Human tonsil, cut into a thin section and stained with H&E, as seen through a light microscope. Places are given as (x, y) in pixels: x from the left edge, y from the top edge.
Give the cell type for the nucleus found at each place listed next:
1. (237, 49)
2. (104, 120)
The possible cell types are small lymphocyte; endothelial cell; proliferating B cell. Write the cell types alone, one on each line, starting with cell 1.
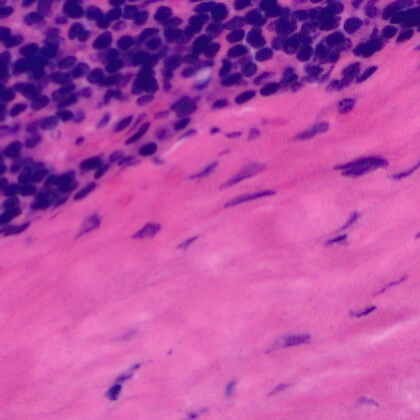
small lymphocyte
endothelial cell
